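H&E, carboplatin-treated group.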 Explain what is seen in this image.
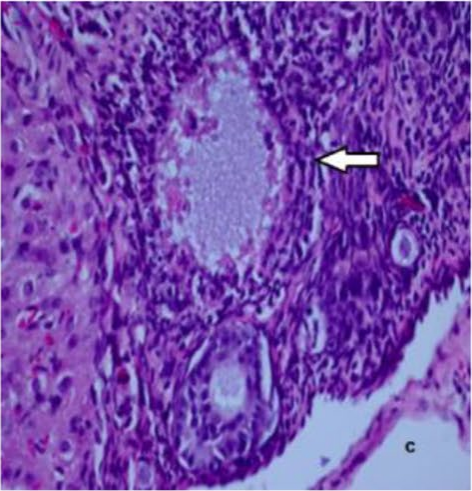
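This is cellular ovarian stroma containing a degenerated follicle. A large oval follicle fills the center. Its interior is pale, finely granular and faintly stained, without a clearly intact egg cell. Around it lie several layers of closely packed cells with dark purple nuclei, merging into the surrounding stroma. The stroma is made of densely packed spindle-shaped cells with elongated dark nuclei. A smaller round follicle with a pale center and a surrounding ring of cells lies below.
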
